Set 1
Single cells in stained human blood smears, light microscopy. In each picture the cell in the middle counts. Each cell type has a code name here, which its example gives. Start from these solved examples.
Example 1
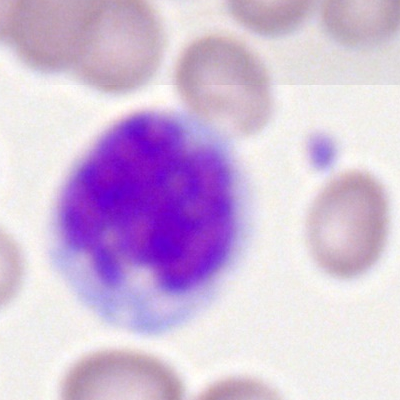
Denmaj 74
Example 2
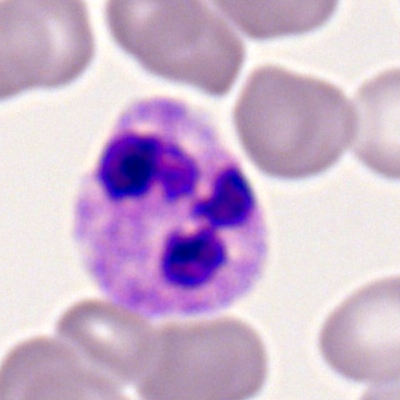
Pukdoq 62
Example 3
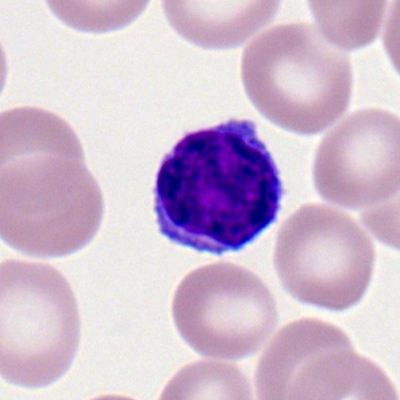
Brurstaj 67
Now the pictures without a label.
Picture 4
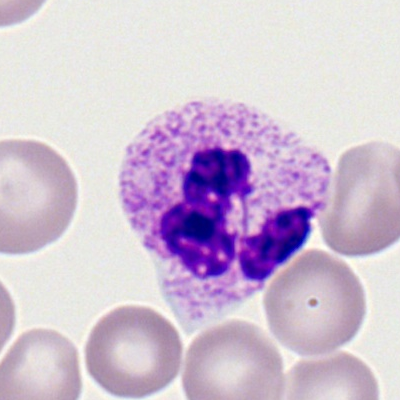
Pukdoq 62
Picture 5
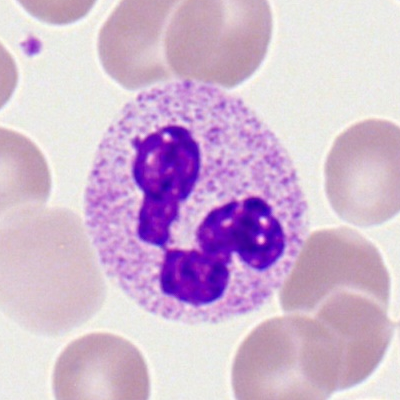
Pukdoq 62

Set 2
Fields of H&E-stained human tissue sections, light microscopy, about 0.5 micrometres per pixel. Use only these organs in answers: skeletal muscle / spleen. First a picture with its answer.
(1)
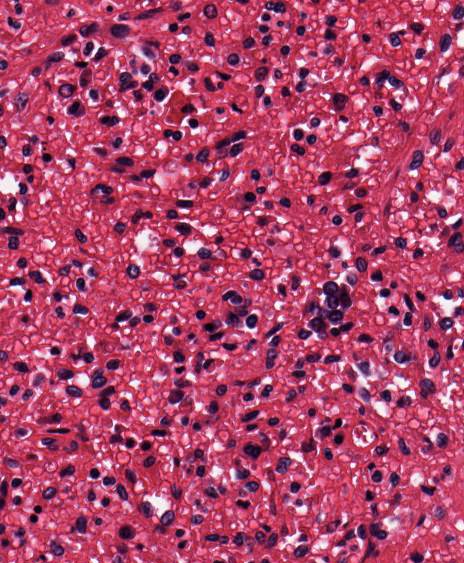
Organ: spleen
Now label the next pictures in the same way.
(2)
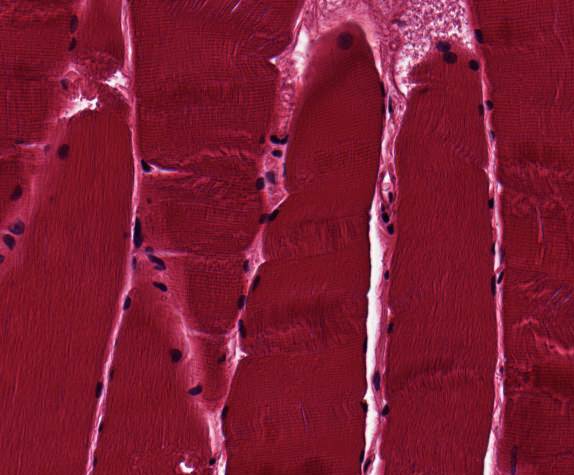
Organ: skeletal muscle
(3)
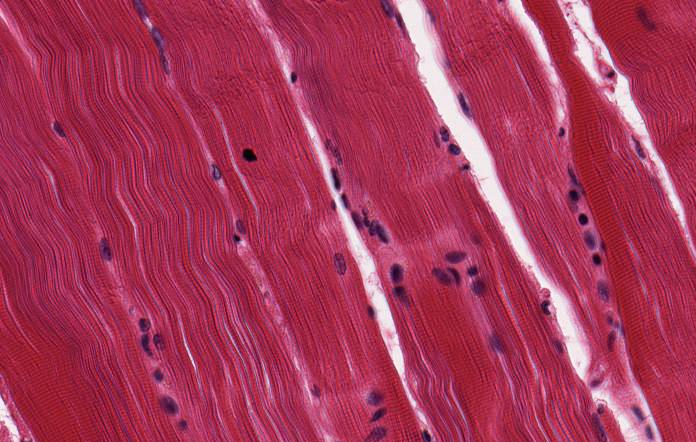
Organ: skeletal muscle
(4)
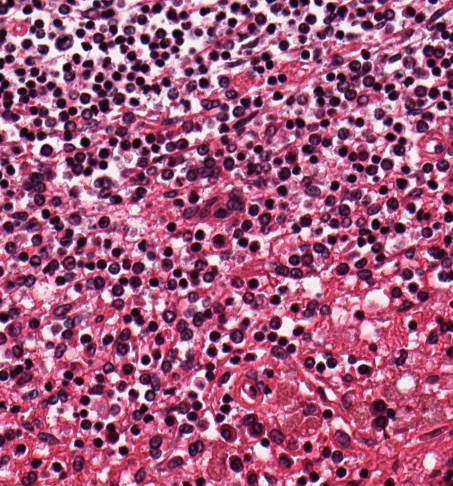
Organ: spleen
